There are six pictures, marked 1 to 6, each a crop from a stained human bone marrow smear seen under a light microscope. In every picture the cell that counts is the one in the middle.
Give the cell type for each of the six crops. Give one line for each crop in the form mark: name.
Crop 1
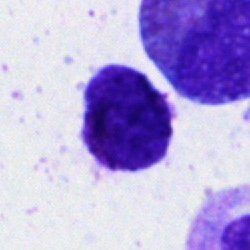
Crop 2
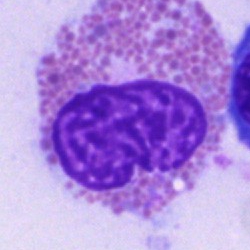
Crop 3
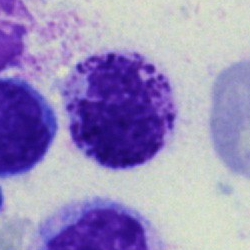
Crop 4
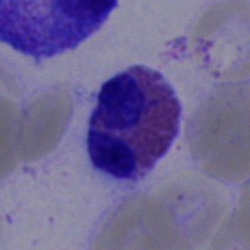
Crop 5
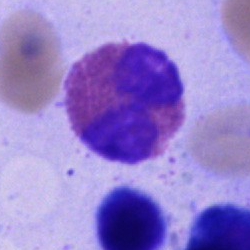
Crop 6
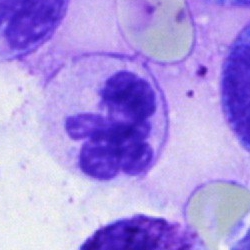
1: basophil
2: eosinophil
3: basophil
4: eosinophil
5: eosinophil
6: neutrophil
